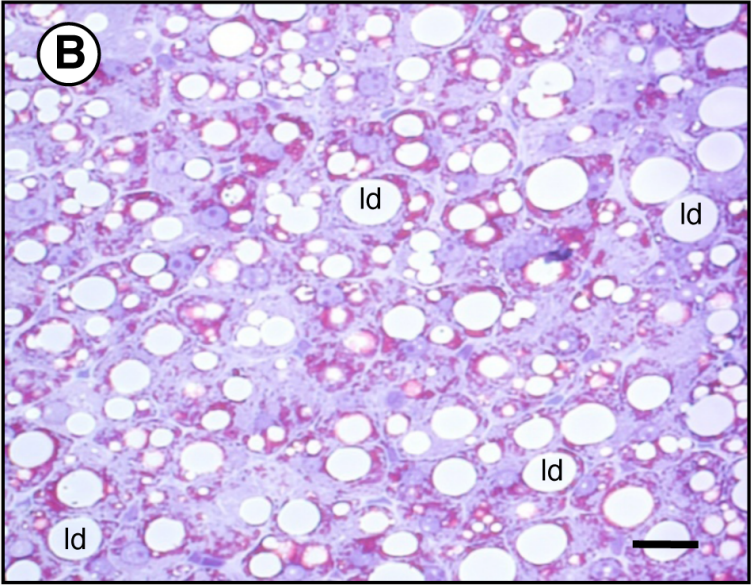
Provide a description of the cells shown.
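This is liver parenchyma in which the hepatocytes are crowded with lipid droplets, seen as round, empty white vacuoles of many sizes. In many cells one or a few large droplets fill much of the cytoplasm, while others hold clusters of smaller droplets. The remaining cytoplasm is pale lilac, with magenta-stained material squeezed between droplets in some cells. Nuclei are pale and often hard to find. The cells look swollen and packed tightly together, so the sinusoidal channels seen in normal liver are narrowed and scarcely visible, and the regular plate arrangement is lost.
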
